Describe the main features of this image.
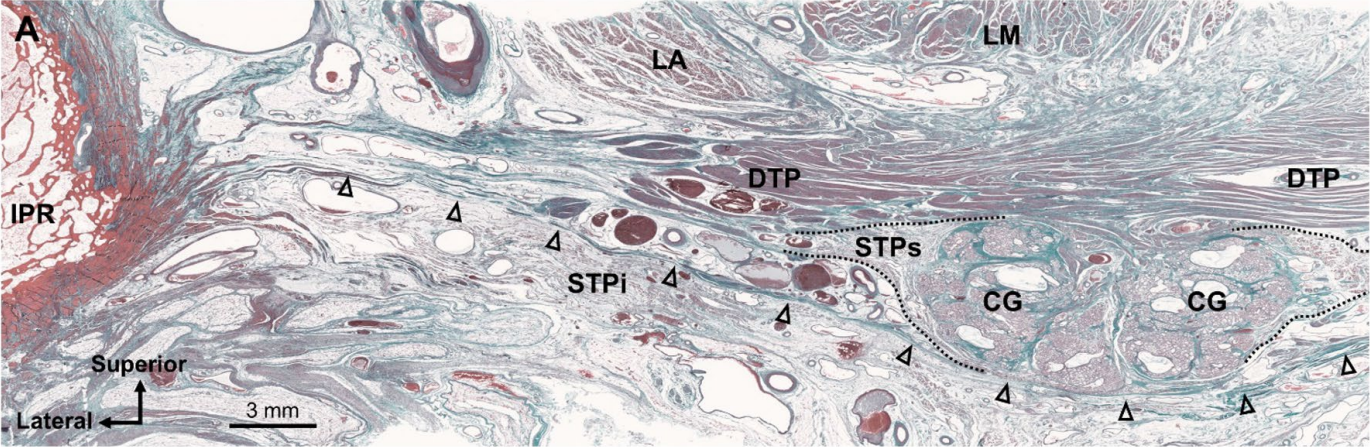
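A coronal section shows a lobulated gland in the deep perineal pouch, its lobules of pale pink glandular tissue separated by green-stained connective septa and bordered by a dotted line. Above it run bundles of red-purple muscle fibers, and a thin green fibrous sheet marked by arrowheads passes beneath the gland, with further loose connective tissue, fat spaces and many vessels below it. At the left edge lies red-stained bone.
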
